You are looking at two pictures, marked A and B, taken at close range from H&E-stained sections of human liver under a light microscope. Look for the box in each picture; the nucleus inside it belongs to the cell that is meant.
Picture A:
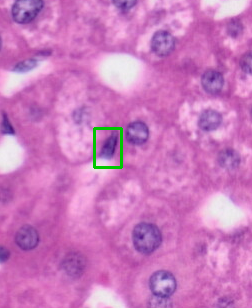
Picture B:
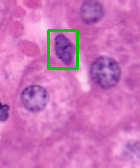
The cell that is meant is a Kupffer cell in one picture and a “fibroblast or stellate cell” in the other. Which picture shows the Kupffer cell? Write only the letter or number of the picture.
B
